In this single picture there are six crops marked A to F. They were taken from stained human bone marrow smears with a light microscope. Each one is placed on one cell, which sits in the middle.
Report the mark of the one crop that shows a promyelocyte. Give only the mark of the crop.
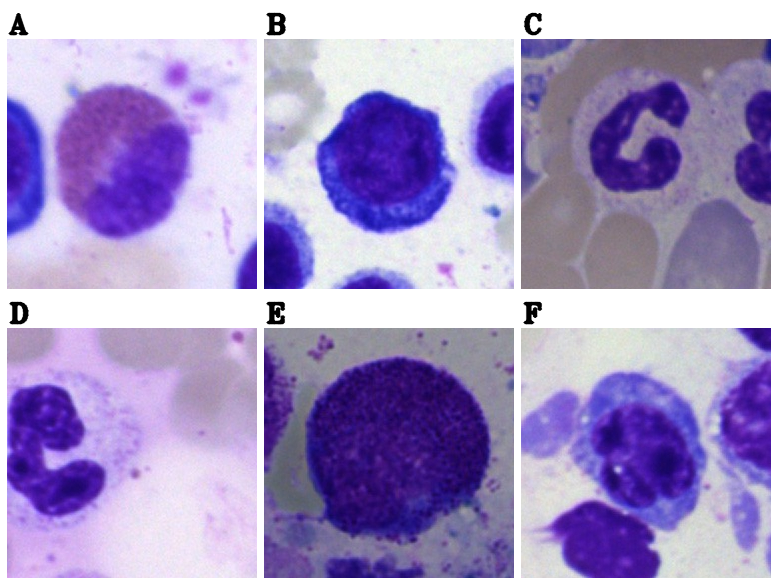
E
